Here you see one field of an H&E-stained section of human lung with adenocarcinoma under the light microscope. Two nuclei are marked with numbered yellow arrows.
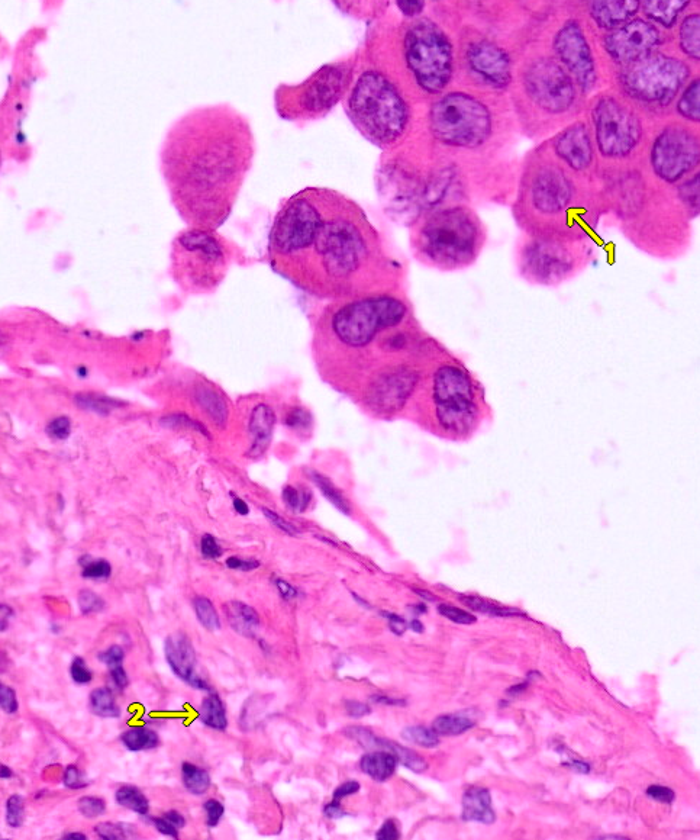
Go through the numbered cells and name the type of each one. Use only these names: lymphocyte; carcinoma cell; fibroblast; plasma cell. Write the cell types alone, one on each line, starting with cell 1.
carcinoma cell
lymphocyte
